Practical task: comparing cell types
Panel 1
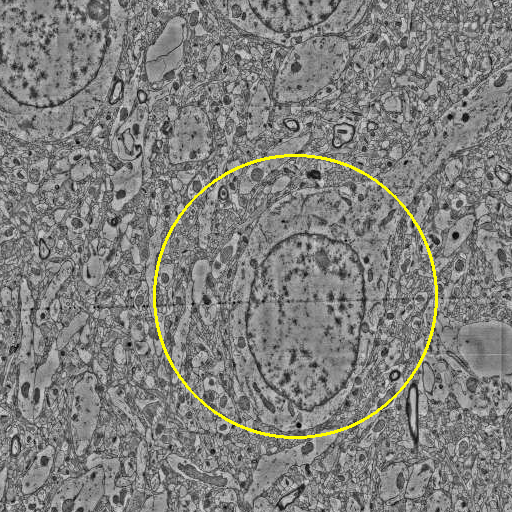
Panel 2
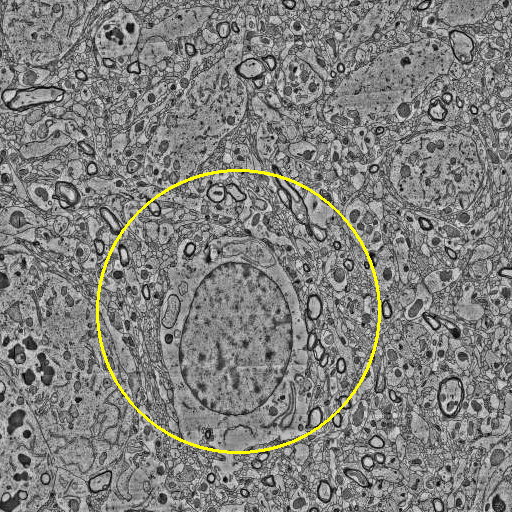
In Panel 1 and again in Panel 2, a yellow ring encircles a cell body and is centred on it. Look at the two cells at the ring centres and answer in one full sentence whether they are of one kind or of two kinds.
The two cells sitting at the ring centres of Panels 1 and 2 are of two kinds.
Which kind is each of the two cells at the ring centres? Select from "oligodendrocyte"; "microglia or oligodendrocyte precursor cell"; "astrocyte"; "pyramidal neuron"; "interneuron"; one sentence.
The cell at the centre of the ring is a pyramidal neuron in the first picture and an astrocyte in the second.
